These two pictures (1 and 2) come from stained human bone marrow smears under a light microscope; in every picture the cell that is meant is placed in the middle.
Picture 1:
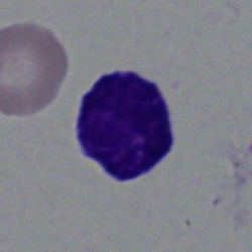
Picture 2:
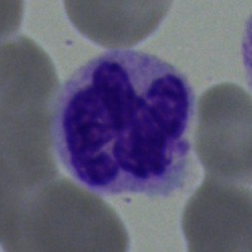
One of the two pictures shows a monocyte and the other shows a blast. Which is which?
1: blast
2: monocyte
